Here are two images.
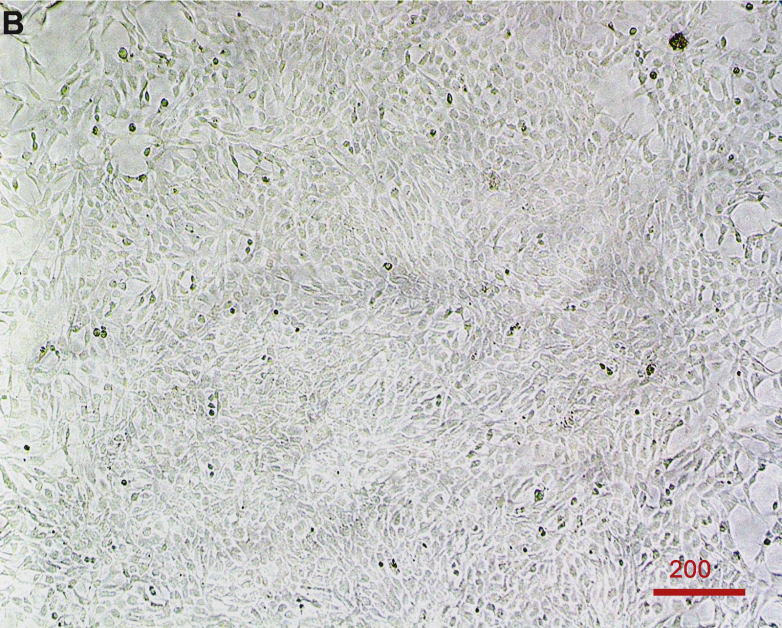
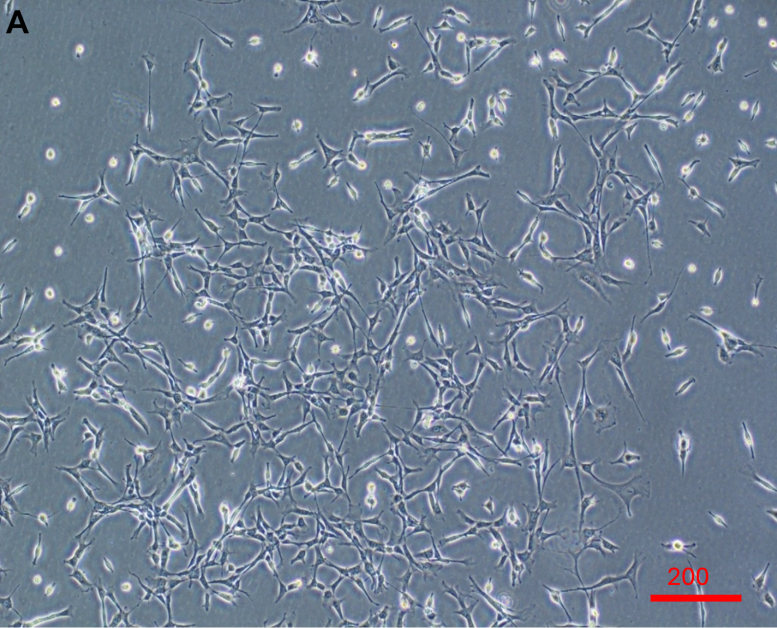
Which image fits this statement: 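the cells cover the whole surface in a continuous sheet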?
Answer: The first image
